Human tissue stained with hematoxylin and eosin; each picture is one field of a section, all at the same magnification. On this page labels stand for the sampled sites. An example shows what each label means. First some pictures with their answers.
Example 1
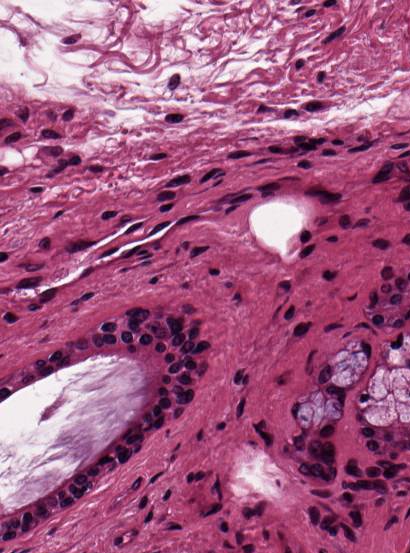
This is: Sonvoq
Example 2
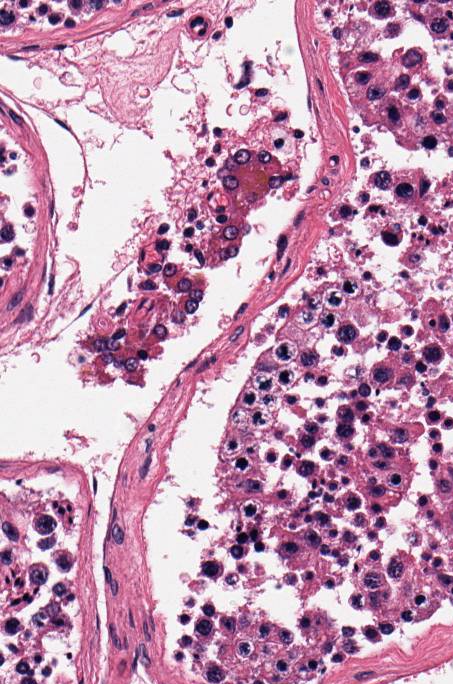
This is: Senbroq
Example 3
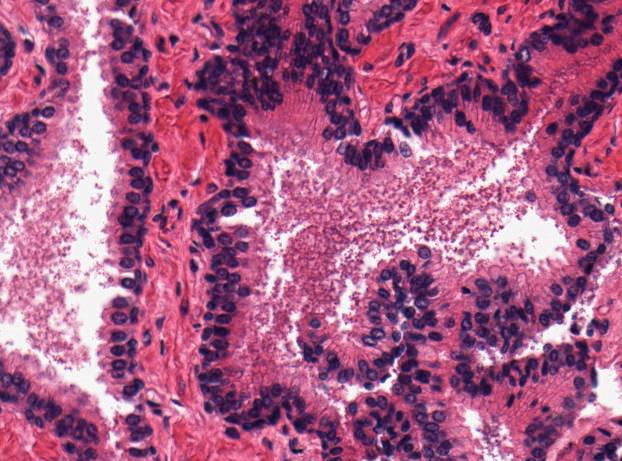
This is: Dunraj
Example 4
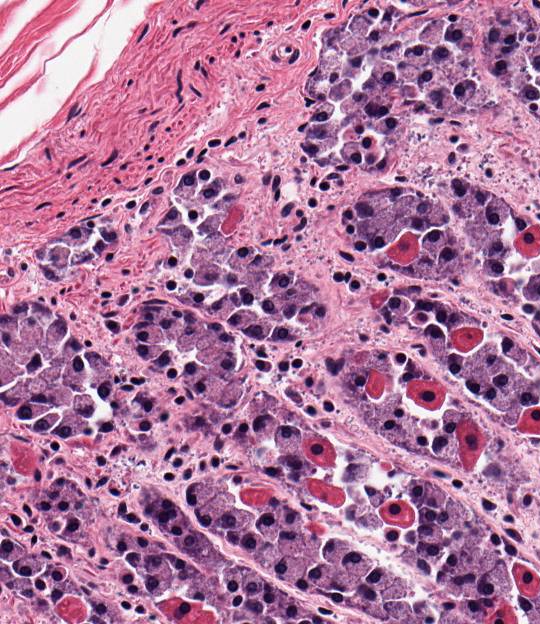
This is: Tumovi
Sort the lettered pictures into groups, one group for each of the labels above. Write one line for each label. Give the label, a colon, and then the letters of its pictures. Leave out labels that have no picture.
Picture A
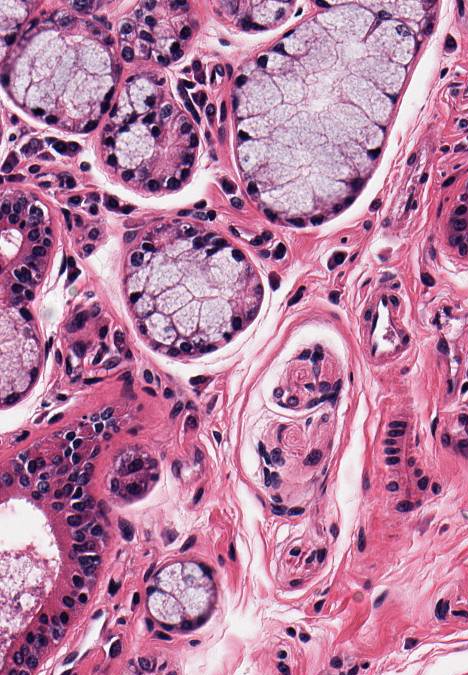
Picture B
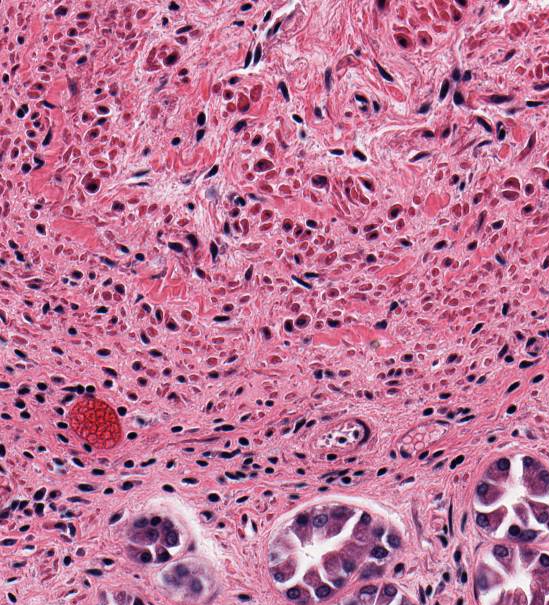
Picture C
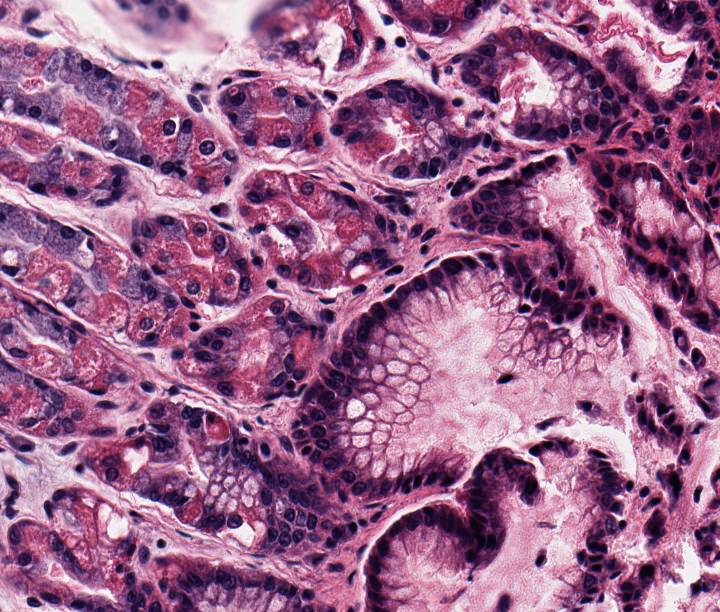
Sonvoq: A
Tumovi: B, C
